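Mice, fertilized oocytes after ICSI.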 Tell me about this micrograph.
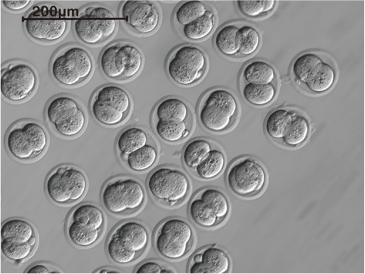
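Almost every embryo is made of two rounded blastomeres of about equal size, pressed together along a flat line of contact. Each pair sits inside a thin, clear, round shell, the zona pellucida, with a little space between the cells and the shell. The cytoplasm of the blastomeres is finely granular and evenly textured. The embryos lie scattered and separate from one another across the dish.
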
